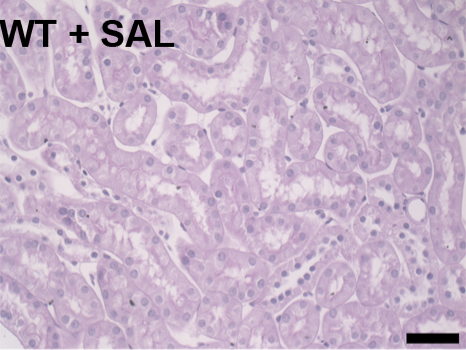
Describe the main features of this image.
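This section of renal cortex shows closely packed cross- and oblique sections of tubules lined by cuboidal epithelial cells. The cells have round, purple nuclei and pale pink cytoplasm, and many tubules show a brighter pink, finely textured rim facing the lumen, the brush border. The tubules lie close together, separated by narrow interstitial spaces with a few small nuclei.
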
